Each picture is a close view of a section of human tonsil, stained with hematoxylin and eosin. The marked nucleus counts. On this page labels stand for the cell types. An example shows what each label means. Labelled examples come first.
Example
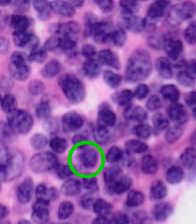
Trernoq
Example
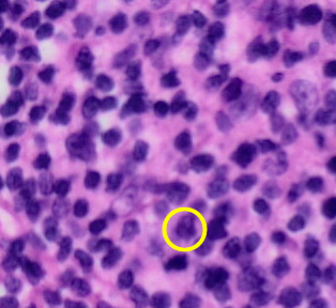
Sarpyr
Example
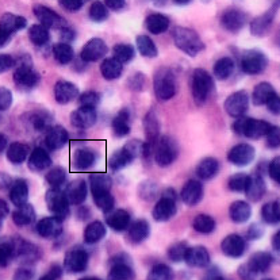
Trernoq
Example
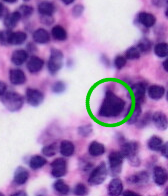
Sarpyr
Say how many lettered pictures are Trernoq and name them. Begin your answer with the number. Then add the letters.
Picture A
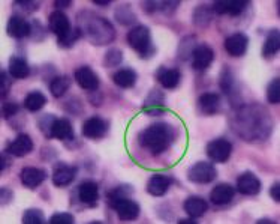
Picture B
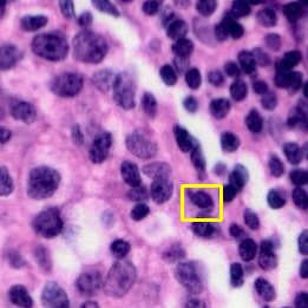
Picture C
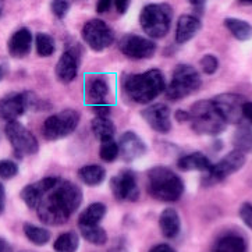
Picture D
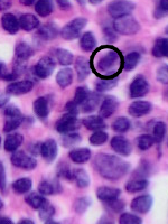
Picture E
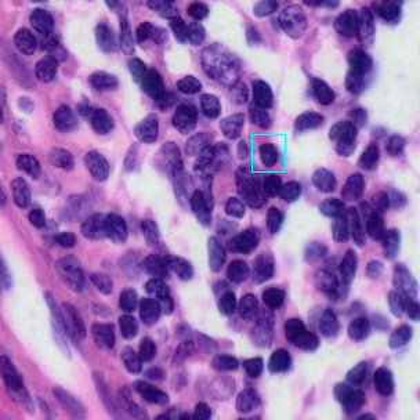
2, namely D, E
